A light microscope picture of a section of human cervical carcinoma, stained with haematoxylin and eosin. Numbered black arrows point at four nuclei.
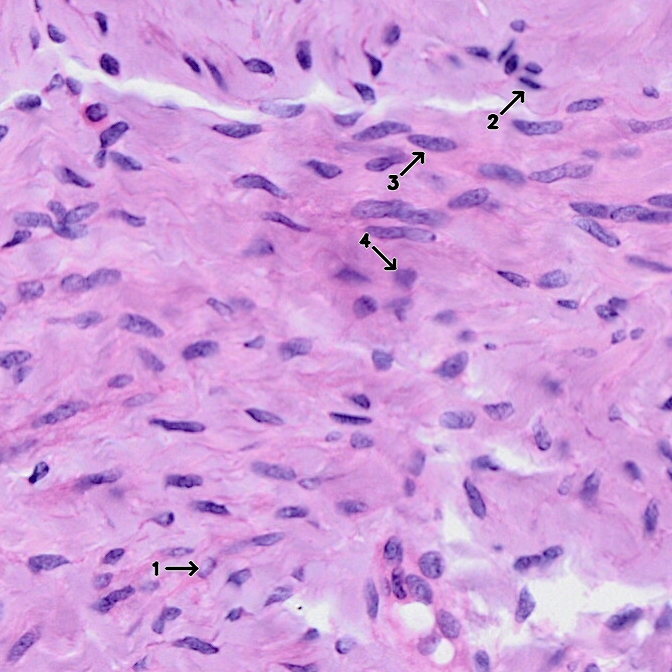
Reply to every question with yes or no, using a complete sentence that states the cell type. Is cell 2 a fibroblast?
Yes, kindly take note: the cell numbered 2 is a fibroblast.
